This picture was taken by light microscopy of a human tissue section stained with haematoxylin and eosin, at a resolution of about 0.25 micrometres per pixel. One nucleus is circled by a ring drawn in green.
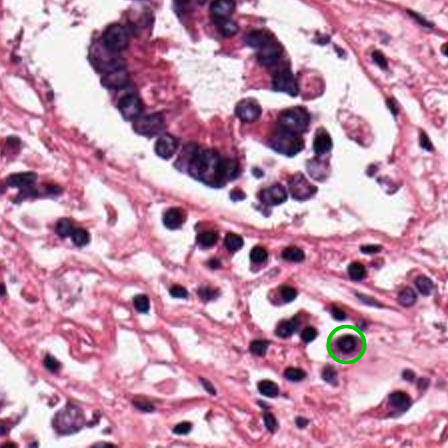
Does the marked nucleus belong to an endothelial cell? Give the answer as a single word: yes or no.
no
